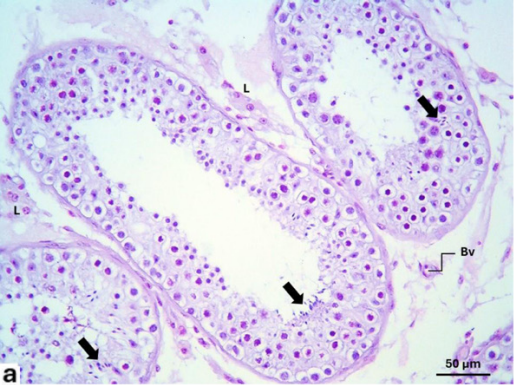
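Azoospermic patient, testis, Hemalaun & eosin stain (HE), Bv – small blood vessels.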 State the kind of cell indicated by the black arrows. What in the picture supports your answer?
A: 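The arrows point at small dark elongated nuclei near the tubule lumen. These small dark cells lie at the luminal edge of a stratified epithelium.
Conclusion: late spermatids and spermatozoa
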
